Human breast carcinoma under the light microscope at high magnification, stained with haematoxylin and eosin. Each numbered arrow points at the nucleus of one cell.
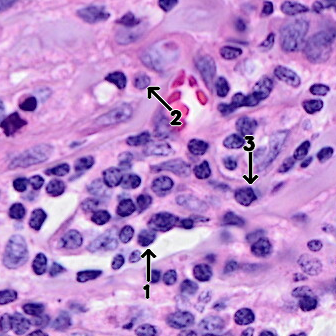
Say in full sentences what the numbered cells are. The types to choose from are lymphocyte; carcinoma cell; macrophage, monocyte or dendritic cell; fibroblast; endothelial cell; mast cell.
Cells 1 and 3 are lymphocytes. Cell 2 is a mast cell.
